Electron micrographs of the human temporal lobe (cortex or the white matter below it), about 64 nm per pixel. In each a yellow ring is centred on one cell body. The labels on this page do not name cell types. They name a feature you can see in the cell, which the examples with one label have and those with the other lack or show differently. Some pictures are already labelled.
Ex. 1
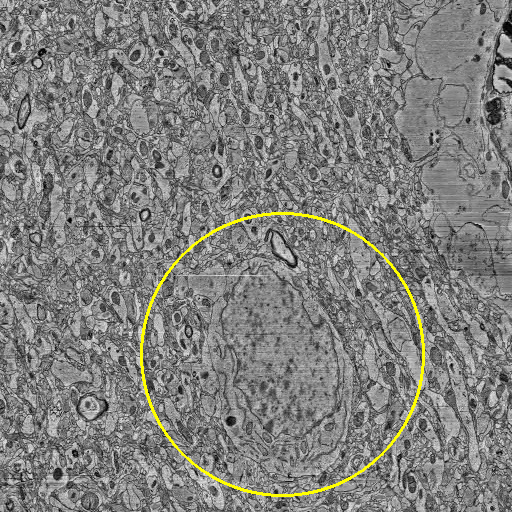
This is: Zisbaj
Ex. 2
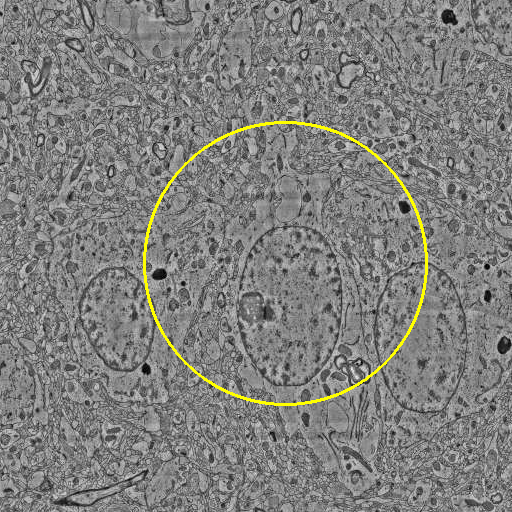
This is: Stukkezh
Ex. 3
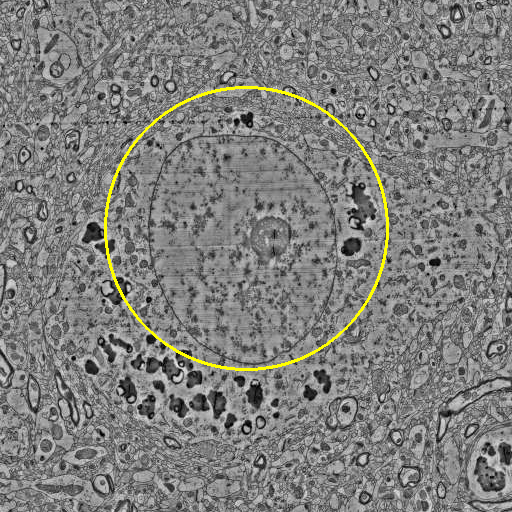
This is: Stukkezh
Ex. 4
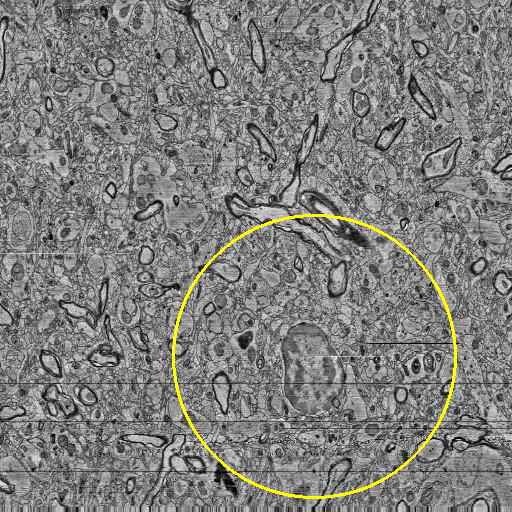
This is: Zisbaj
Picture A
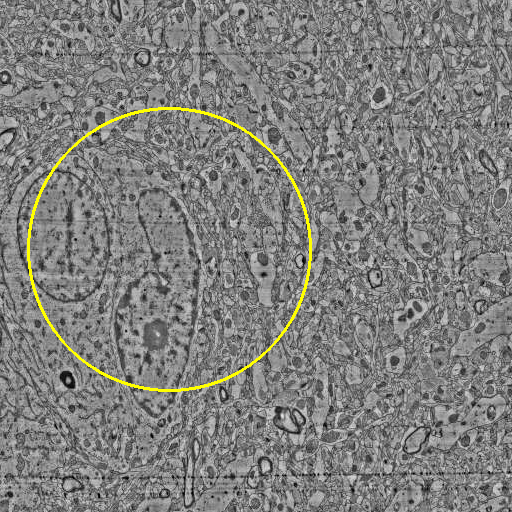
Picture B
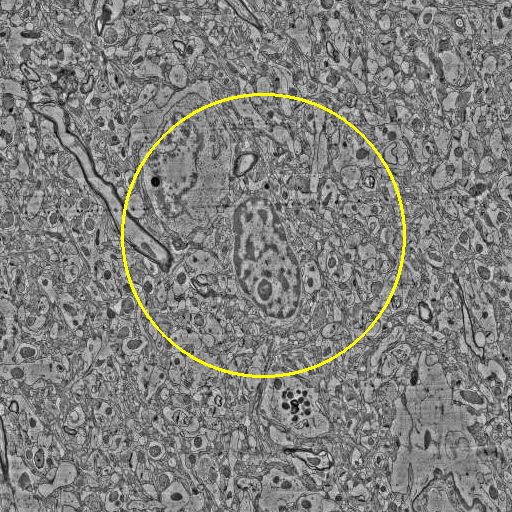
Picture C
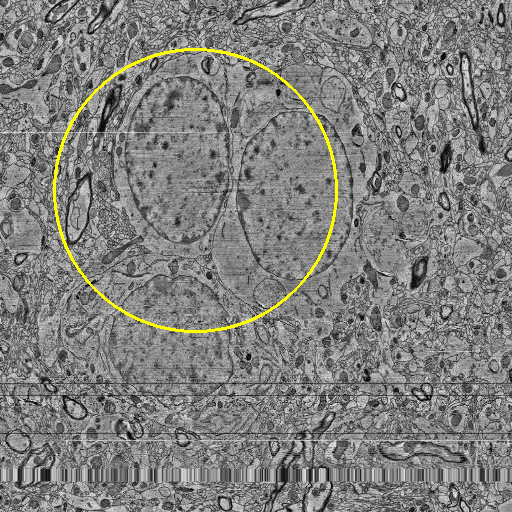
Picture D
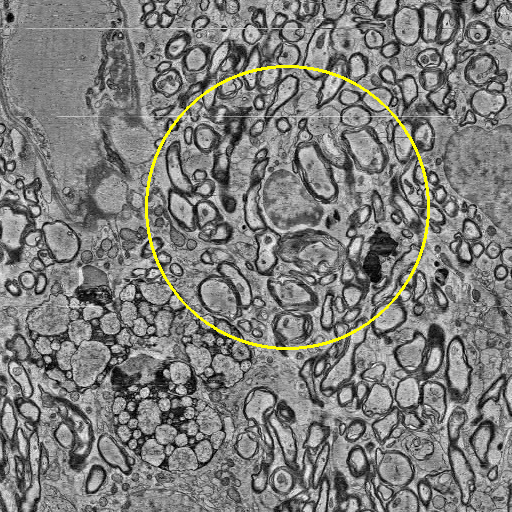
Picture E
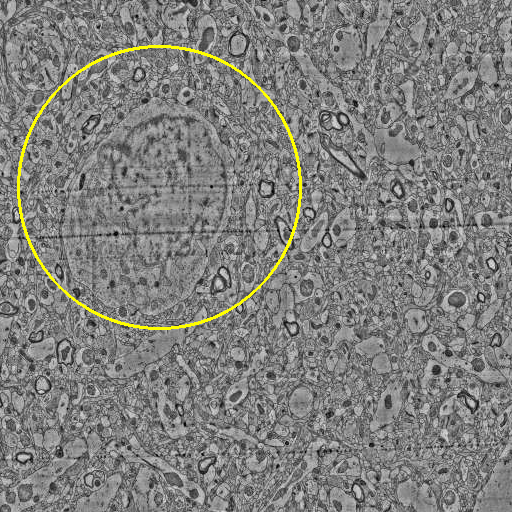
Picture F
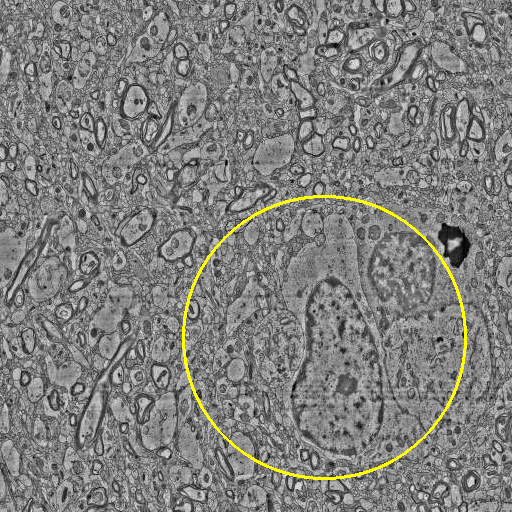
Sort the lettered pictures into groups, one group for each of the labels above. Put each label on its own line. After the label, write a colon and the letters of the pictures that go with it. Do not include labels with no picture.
Zisbaj: C, D, E
Stukkezh: A, B, F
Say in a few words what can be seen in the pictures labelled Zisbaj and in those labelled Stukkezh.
Zisbaj: no nucleolus seen; Stukkezh: nucleolus seen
